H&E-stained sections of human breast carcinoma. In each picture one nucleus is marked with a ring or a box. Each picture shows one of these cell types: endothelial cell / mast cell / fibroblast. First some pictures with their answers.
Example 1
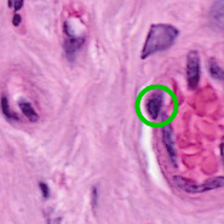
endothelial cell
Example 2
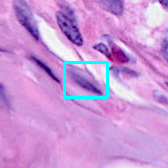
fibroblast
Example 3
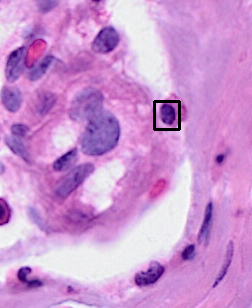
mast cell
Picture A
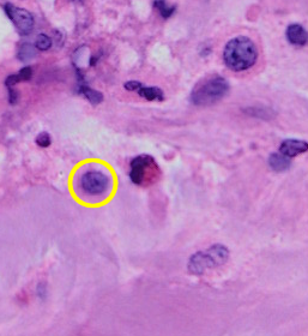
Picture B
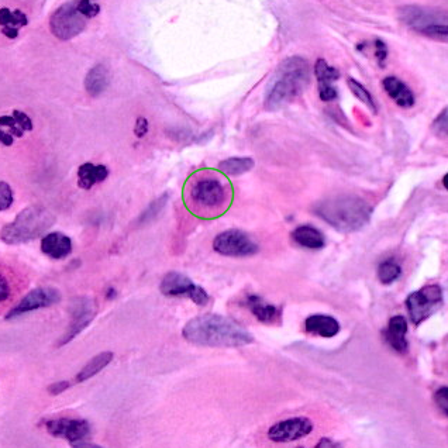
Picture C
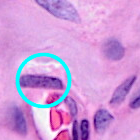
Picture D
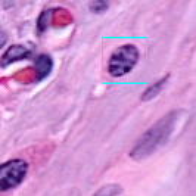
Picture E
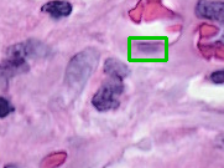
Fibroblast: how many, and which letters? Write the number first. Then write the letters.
0, none of them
